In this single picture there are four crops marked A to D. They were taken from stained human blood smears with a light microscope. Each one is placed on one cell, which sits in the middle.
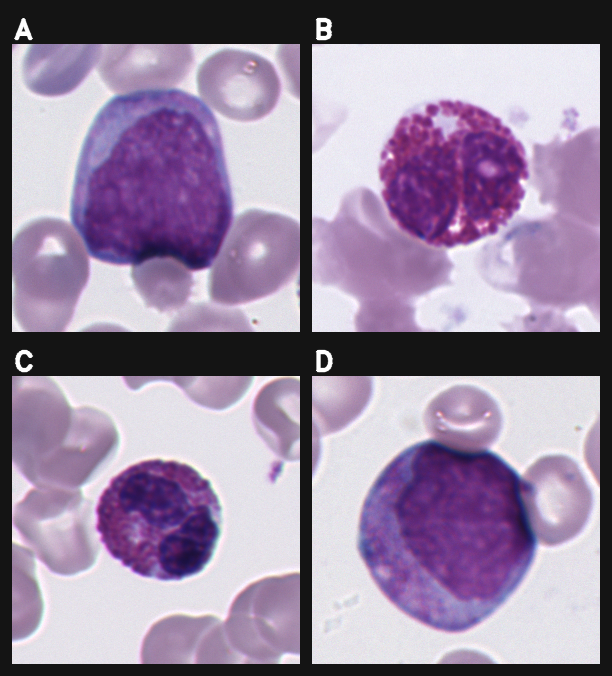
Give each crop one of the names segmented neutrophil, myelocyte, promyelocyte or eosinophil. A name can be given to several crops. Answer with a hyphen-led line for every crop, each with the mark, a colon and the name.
- A: promyelocyte
- B: eosinophil
- C: eosinophil
- D: promyelocyte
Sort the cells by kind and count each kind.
promyelocyte: 2
eosinophil: 2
